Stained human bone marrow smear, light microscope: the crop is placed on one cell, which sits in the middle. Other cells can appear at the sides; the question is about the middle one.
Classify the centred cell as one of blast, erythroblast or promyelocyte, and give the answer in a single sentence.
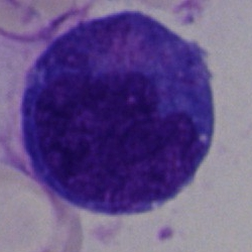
The central cell, amid any neighbouring cells, is a blast.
